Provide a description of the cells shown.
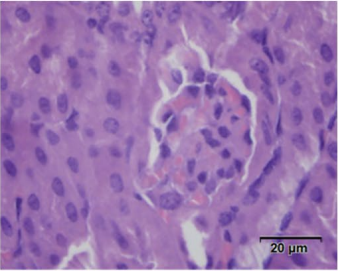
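This is kidney cortex with a single glomerulus at the centre, surrounded by tubules lined by cells with round purple nuclei and pale pink cytoplasm. The glomerular tuft is compact and holds a modest number of nuclei. A clear, thin space separates the tuft from its surrounding capsule. The surrounding tubular cells are evenly arranged.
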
